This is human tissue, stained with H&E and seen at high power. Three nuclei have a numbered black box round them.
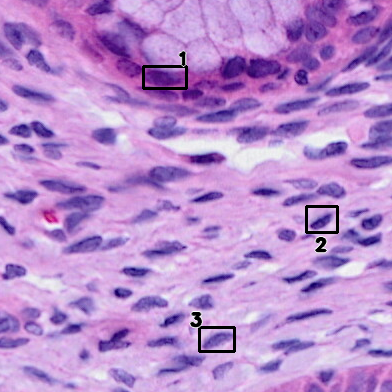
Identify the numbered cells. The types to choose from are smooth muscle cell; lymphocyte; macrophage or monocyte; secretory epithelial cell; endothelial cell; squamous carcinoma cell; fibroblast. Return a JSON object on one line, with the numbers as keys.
{"1": "secretory epithelial cell", "2": "fibroblast", "3": "fibroblast"}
